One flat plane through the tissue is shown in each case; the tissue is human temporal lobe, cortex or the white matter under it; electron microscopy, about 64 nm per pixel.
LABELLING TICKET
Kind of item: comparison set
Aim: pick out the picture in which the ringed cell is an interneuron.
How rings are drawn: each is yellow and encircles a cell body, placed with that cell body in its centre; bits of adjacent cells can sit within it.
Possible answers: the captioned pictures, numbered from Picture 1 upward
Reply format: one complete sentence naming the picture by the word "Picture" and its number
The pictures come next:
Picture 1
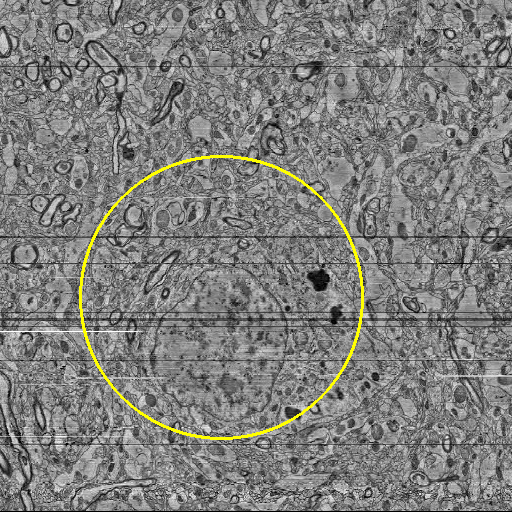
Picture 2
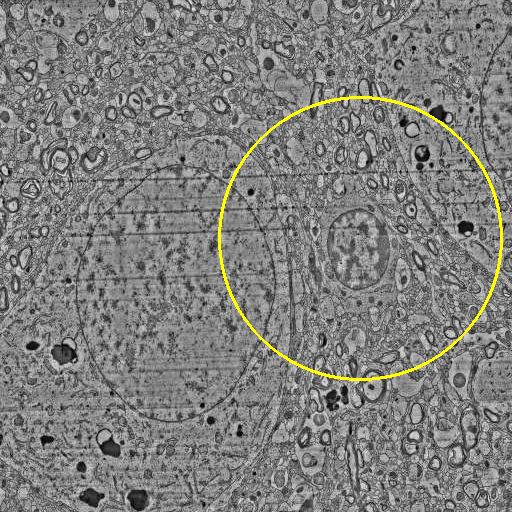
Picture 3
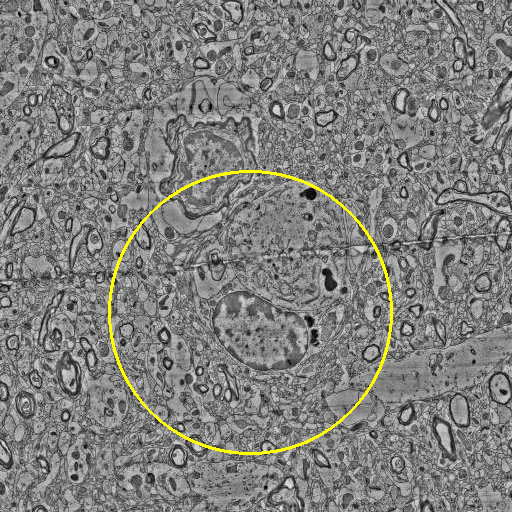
The cell centred inside the yellow ring in Picture 1 is the requested one.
